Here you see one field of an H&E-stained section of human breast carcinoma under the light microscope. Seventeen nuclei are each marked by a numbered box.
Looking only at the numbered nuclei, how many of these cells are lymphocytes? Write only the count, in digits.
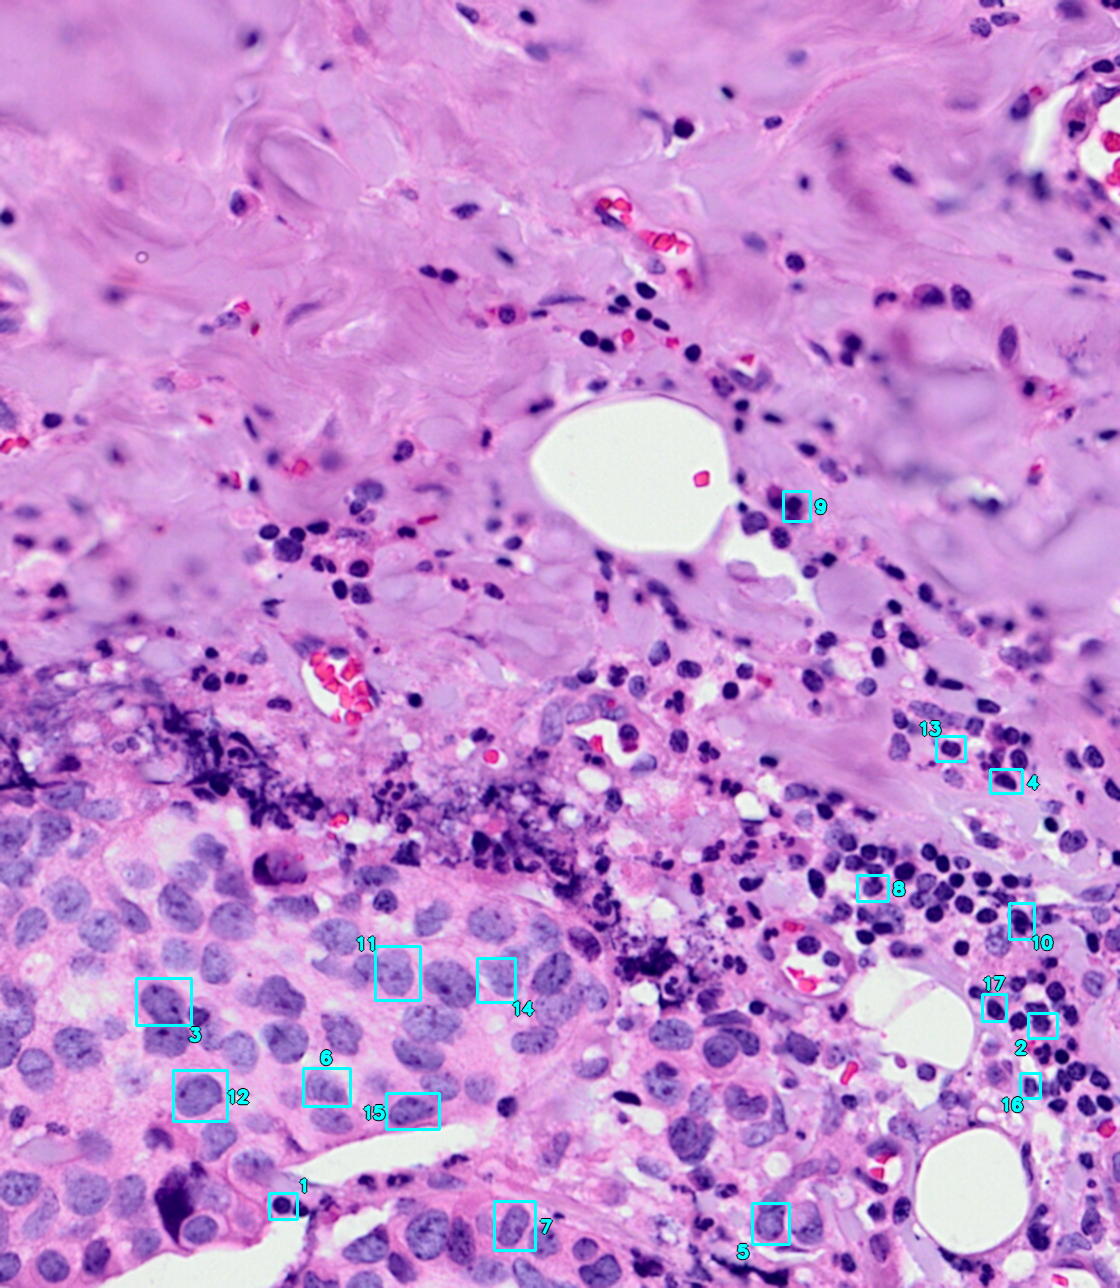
9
